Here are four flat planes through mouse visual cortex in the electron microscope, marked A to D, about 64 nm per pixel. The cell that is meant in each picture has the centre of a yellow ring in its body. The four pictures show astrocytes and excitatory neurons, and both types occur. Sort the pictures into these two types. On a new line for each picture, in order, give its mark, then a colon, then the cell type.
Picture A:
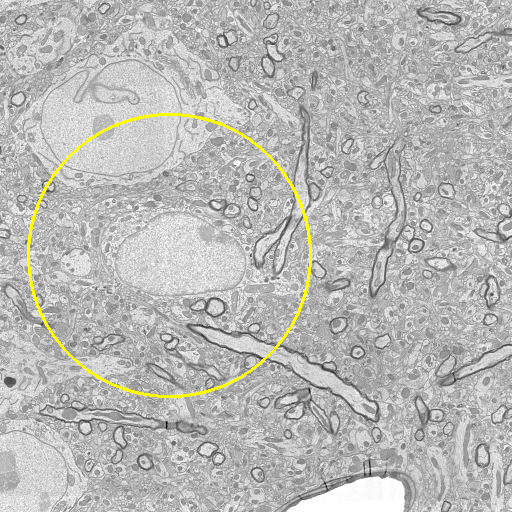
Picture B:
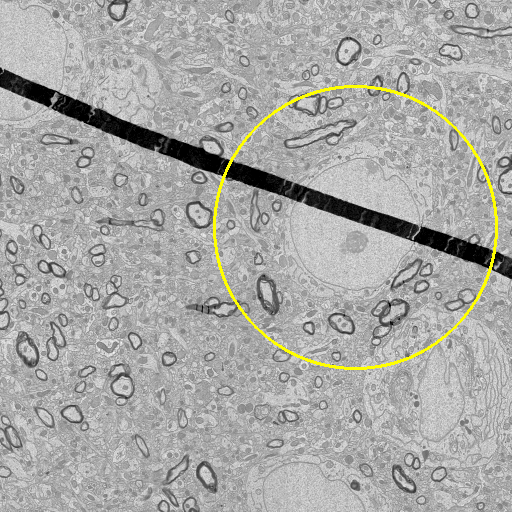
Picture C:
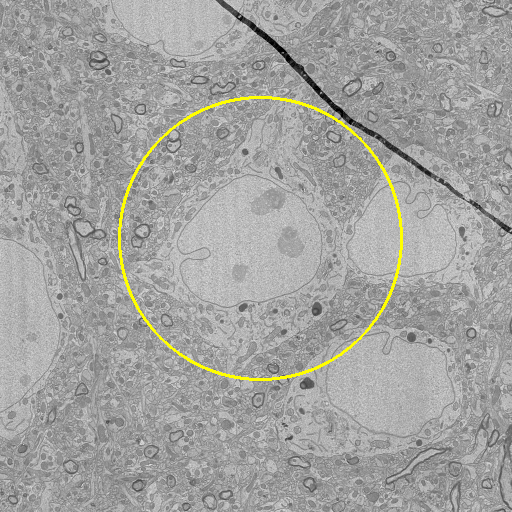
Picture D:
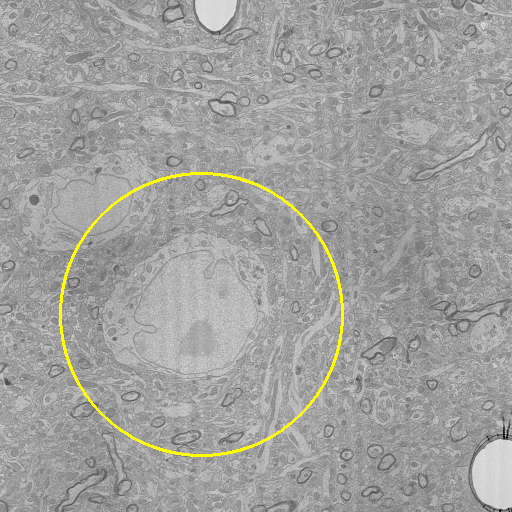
A: astrocyte
B: excitatory neuron
C: excitatory neuron
D: excitatory neuron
